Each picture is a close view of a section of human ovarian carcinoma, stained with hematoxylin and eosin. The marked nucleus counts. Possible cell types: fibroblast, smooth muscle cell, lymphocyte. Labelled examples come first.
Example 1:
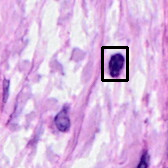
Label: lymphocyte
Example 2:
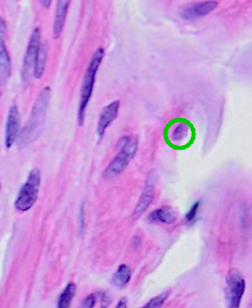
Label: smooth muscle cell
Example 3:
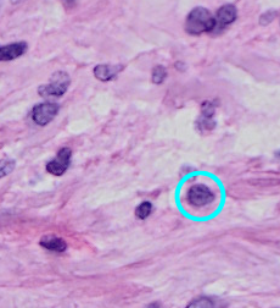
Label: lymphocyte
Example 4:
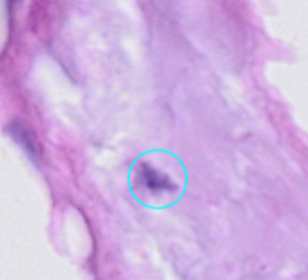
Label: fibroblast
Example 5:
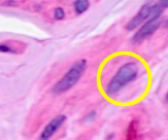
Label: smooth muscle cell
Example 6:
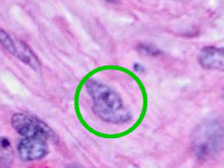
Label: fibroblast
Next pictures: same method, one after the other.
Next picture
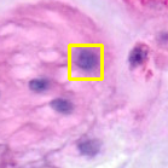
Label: smooth muscle cell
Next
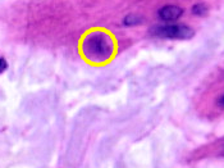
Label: smooth muscle cell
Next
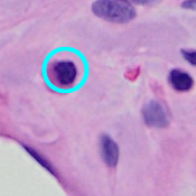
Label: lymphocyte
